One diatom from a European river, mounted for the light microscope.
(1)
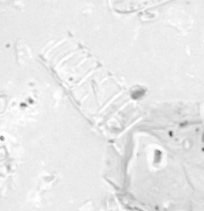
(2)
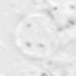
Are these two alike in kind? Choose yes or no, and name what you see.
No. First Diatoma, second Thalassiosira.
